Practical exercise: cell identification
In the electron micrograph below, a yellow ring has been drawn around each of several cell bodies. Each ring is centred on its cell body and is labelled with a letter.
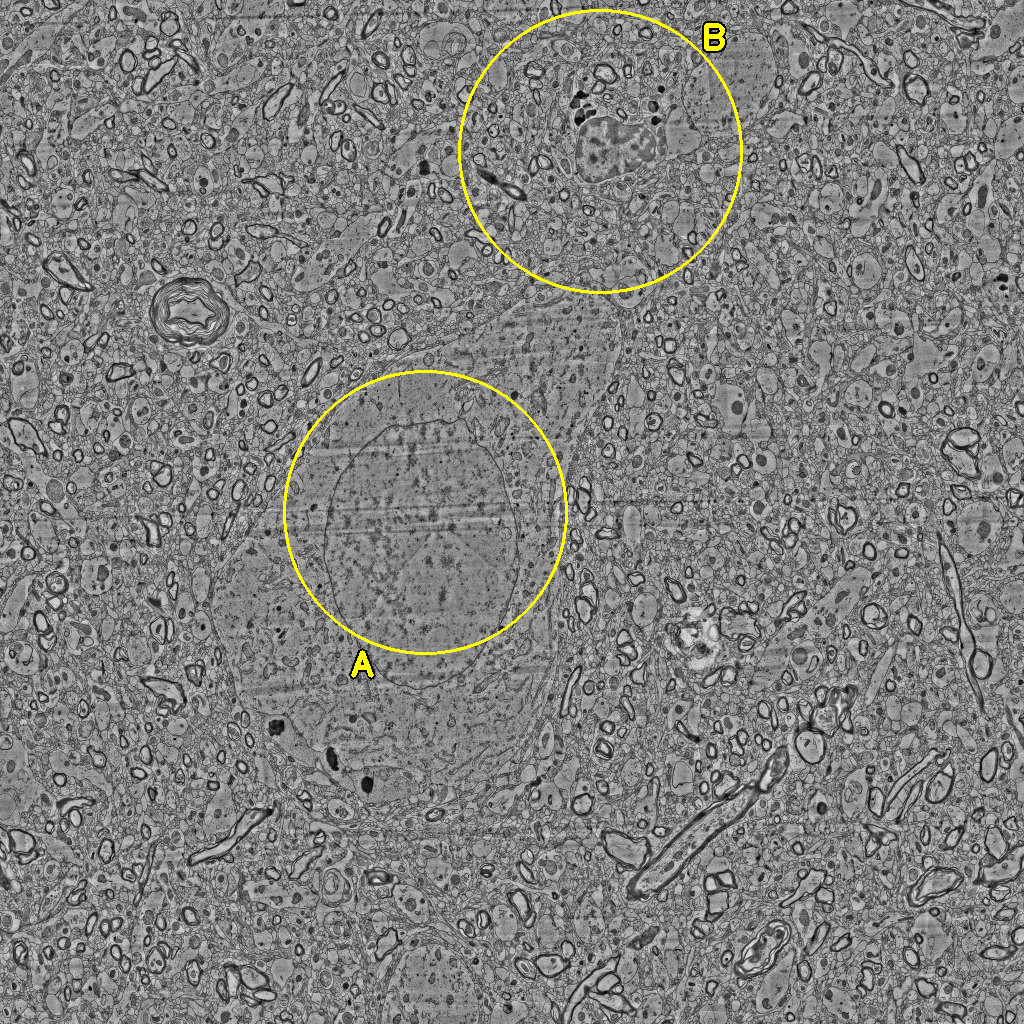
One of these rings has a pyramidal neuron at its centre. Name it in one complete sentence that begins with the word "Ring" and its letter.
Ring A has that cell at its centre.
